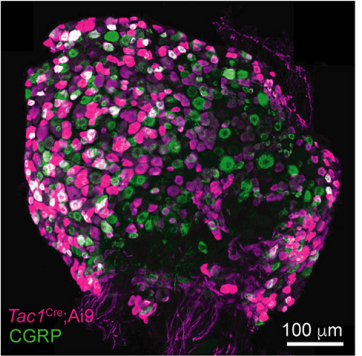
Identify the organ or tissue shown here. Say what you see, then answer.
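A compact oval cluster of many round neuronal somata of varied size. A bundle of fibres leaves the cluster at its lower edge.
Conclusion: dorsal root ganglion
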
